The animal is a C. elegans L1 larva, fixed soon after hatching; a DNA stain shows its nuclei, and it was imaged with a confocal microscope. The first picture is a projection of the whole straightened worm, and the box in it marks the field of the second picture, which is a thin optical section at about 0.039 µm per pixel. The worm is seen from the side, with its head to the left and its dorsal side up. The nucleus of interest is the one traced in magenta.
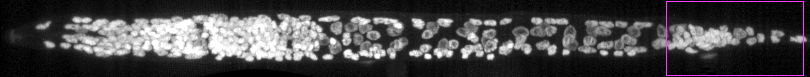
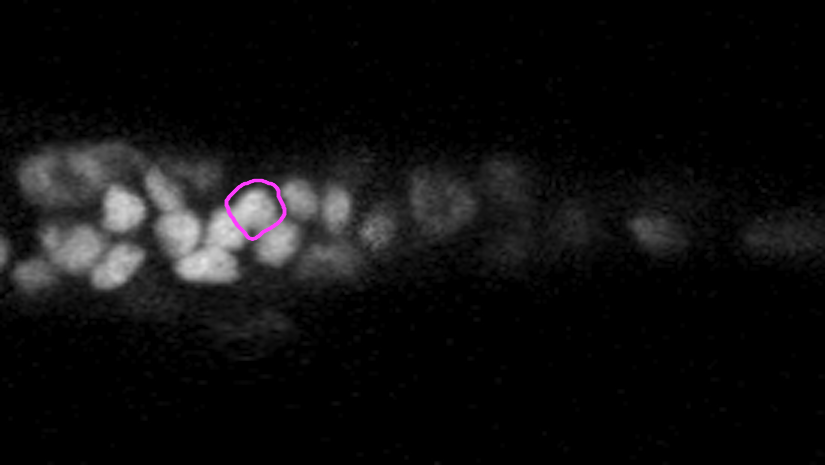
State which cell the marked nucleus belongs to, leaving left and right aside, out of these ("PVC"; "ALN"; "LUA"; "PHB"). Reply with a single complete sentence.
The nucleus is from LUA, a neuron.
